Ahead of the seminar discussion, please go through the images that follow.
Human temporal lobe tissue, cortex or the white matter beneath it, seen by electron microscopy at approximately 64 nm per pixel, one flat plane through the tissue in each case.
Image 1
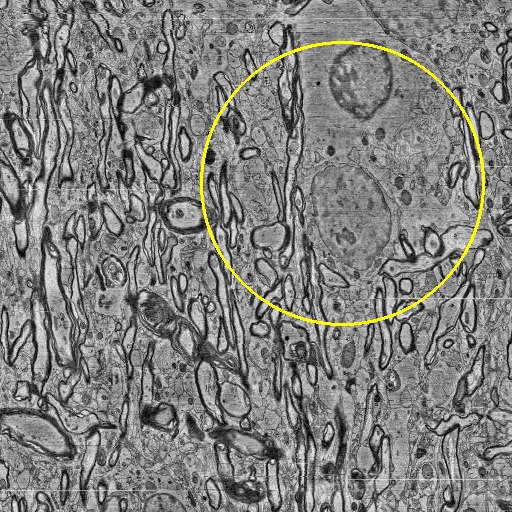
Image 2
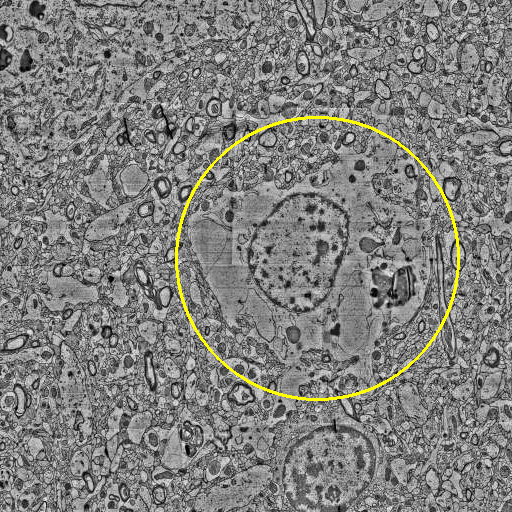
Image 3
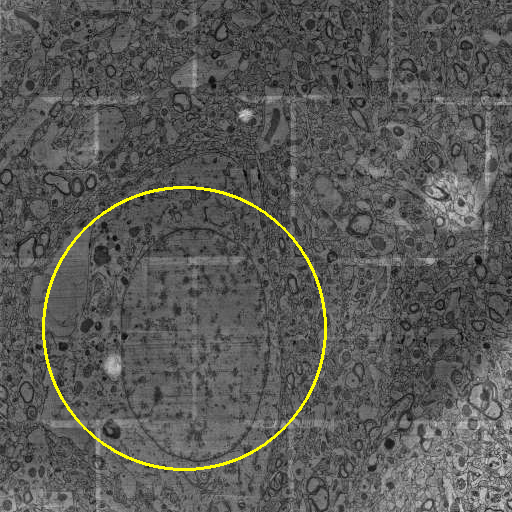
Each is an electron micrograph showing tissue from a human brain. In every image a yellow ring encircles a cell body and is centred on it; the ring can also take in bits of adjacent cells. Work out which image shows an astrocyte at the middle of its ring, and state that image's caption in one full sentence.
In Image 2, the ring's centre holds the cell you are looking for.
